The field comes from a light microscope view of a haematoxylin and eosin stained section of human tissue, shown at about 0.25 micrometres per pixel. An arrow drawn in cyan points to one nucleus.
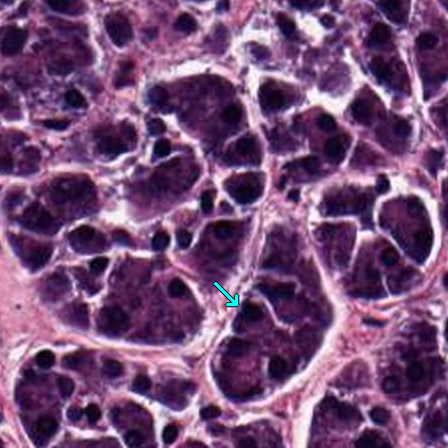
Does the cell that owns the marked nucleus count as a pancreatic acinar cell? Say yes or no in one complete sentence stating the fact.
Yes, the nucleus singled out in the image belongs to a pancreatic acinar cell.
